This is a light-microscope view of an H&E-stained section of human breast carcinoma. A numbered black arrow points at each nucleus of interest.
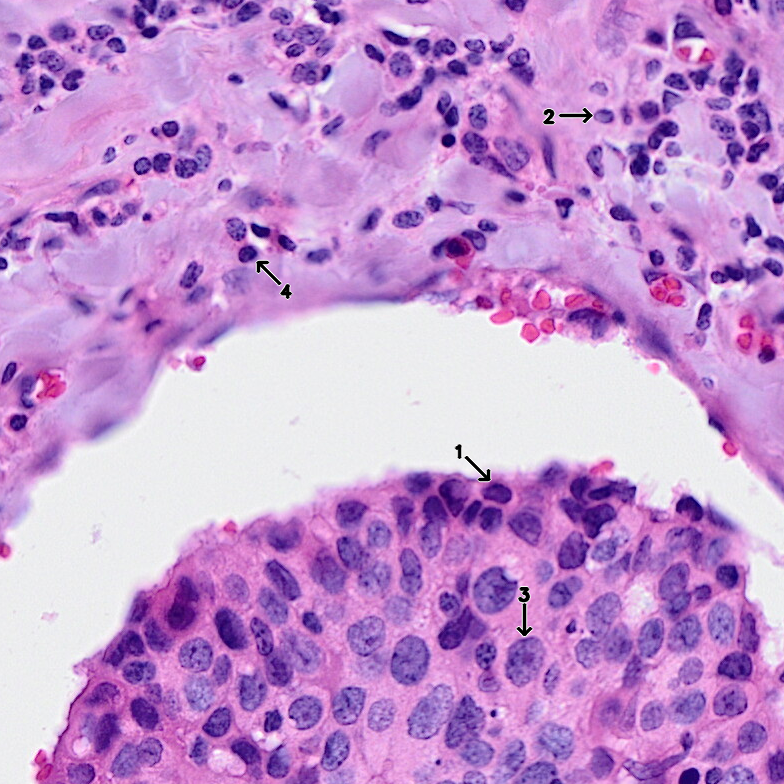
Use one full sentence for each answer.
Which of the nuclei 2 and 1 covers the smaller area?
Nucleus 2 is the smaller one; nucleus 1 covers about 2 times its area.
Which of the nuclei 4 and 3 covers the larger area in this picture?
Number 3 is larger; its area is about 4 times that of number 4.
